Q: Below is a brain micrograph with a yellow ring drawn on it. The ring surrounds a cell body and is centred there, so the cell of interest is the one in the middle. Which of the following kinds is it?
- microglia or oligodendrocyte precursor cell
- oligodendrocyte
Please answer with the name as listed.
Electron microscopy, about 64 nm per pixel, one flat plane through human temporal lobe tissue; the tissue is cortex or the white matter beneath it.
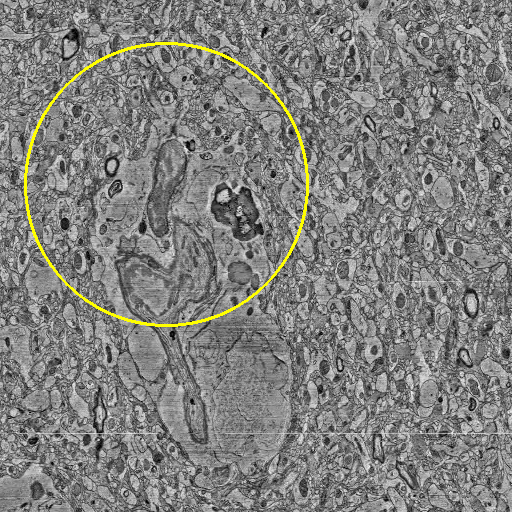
microglia or oligodendrocyte precursor cell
